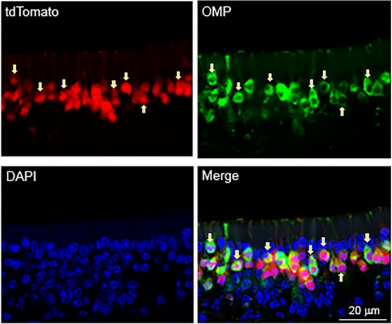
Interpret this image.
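This is a layer of olfactory epithelium that contains olfactory sensory neurons. Many small, rounded cell bodies lie close together in a band, with densely packed blue nuclei above and below them. A subset of these cell bodies is red, and many are also green, so they appear yellow-orange where the two colours overlap. Thin, straight processes run from the band of cell bodies towards the upper surface of the layer. Red and green cells are interspersed with unlabelled nuclei, and the neurons form a fairly regular row.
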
